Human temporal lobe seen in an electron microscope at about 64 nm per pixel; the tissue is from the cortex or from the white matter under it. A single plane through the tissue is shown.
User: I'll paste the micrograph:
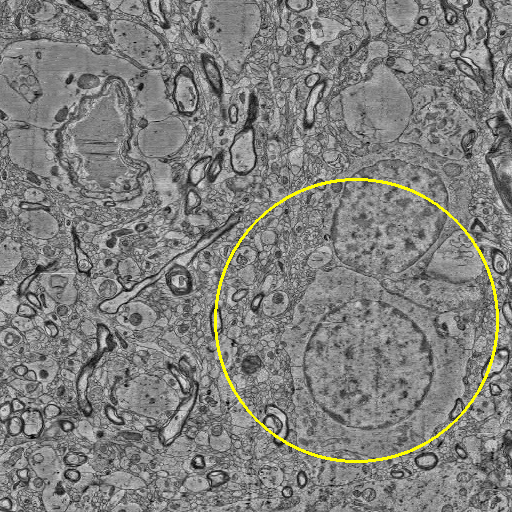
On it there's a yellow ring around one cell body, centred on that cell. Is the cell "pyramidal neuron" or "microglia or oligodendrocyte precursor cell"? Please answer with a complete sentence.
The cell ringed in yellow is a microglial cell or oligodendrocyte precursor cell.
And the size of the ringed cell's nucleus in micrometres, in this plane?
About 8 micrometers across, in this plane.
